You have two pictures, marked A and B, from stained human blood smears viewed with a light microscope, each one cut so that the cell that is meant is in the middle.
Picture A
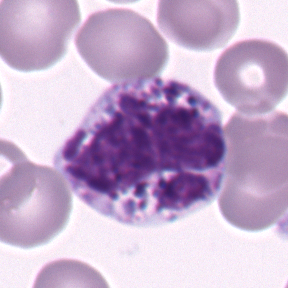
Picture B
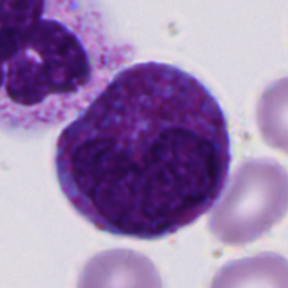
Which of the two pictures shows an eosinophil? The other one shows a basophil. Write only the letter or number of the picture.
B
